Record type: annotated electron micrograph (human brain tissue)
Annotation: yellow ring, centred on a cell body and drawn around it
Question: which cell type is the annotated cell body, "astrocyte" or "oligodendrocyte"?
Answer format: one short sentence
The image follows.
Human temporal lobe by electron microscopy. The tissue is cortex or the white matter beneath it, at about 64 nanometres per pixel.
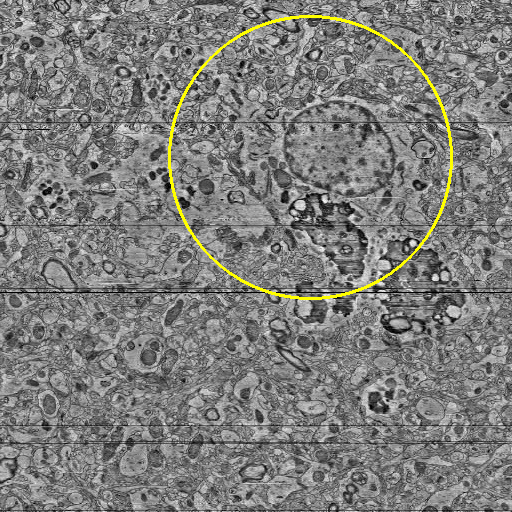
The annotated cell body is that of an astrocyte.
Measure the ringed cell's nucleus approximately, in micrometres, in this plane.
In this plane, roughly 7 by 6 micrometres.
